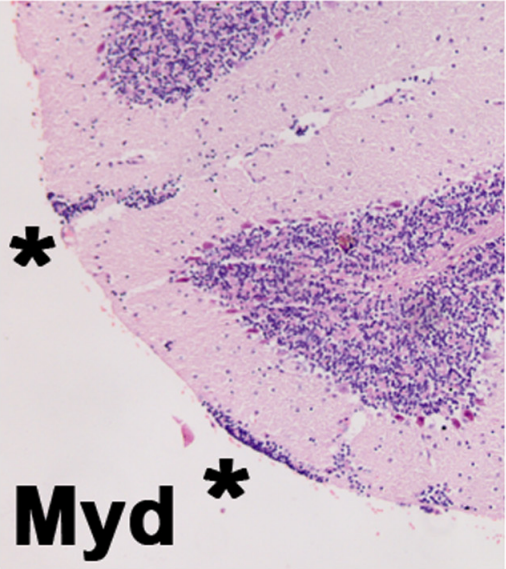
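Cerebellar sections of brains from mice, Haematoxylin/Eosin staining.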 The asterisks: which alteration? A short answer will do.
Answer: Large aggregates of ectopic granule cells superficial to the molecular layer.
